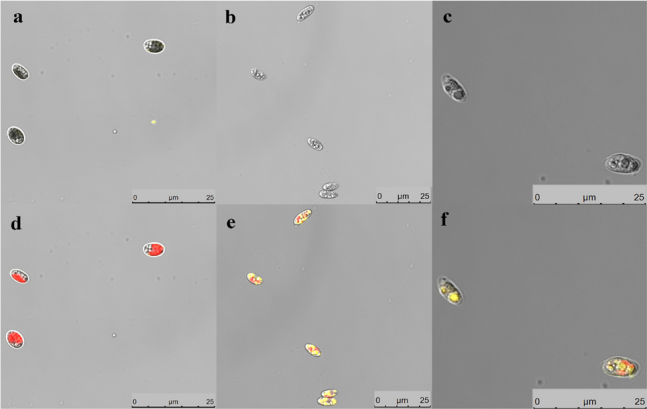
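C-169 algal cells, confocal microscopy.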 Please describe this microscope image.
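These are small single-celled algae, seen as a few scattered oval to ellipsoid cells on a plain grey background, each only a few micrometres long against the 25 micrometre scale bar. In the upper row, under plain light, each cell shows a sharp outline and a faintly granular interior. The lower row shows the same fields with fluorescence laid over the light image, and the cells glow from within. In the left pair the cells are filled mostly with red, while in the middle and right pairs the interiors carry bright yellow spots mixed with or replacing the red.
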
